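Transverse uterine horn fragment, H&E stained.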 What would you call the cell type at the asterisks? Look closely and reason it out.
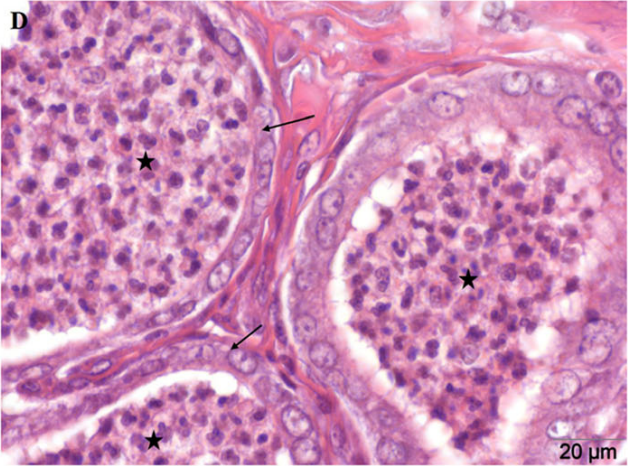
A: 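Neutrophils. The marked lumina are filled with small round cells with dark lobed nuclei. These cells lie inside gland lumina lined by cuboidal to columnar epithelium.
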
